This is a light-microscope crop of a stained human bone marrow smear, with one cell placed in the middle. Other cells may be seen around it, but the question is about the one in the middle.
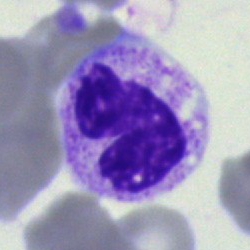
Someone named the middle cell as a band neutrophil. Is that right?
yes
